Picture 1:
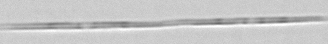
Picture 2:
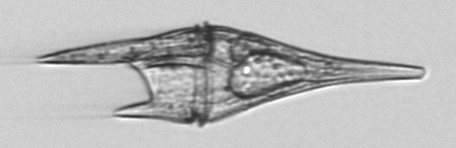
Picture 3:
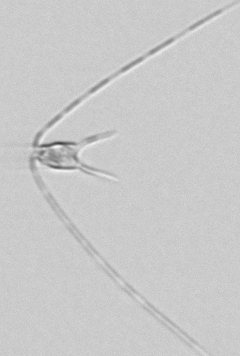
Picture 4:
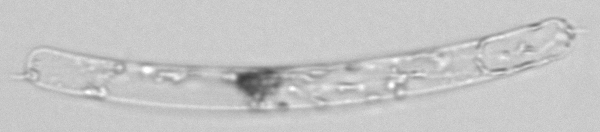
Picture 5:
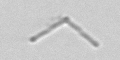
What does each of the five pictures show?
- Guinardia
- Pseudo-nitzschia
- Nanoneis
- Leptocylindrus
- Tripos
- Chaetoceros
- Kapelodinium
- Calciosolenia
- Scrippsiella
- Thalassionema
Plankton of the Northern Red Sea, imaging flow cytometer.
(1) Pseudo-nitzschia
(2) Tripos
(3) Chaetoceros
(4) Guinardia
(5) Nanoneis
